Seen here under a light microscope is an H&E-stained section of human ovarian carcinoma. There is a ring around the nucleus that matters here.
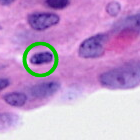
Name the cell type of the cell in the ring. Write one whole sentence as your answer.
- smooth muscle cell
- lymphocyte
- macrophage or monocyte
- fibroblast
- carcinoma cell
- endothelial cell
In terms of identity, the cell in the ring is a lymphocyte.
